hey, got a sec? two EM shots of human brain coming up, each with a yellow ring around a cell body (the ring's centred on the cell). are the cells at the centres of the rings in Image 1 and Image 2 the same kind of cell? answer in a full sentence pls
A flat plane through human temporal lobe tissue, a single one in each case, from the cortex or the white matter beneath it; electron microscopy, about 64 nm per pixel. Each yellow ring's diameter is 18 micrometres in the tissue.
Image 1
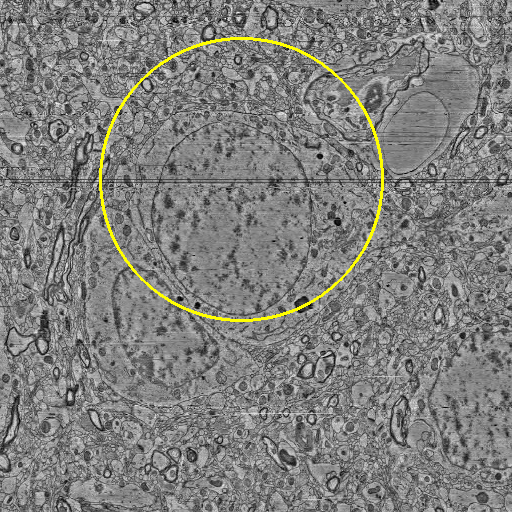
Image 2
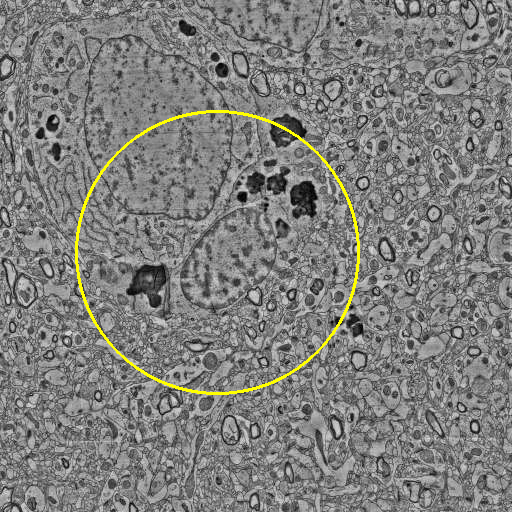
No, they are two kinds of cell.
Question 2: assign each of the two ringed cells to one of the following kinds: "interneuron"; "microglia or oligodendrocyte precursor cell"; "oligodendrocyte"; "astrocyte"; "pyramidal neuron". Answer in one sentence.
The two cells are a pyramidal neuron in the first picture and an oligodendrocyte in the second.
